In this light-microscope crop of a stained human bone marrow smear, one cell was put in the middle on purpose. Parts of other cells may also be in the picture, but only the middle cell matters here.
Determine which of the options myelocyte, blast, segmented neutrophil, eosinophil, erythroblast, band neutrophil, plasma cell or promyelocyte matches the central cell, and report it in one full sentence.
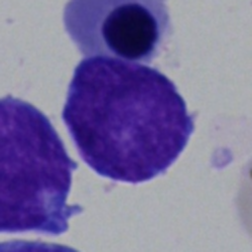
At the center of the crop sits a blast.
